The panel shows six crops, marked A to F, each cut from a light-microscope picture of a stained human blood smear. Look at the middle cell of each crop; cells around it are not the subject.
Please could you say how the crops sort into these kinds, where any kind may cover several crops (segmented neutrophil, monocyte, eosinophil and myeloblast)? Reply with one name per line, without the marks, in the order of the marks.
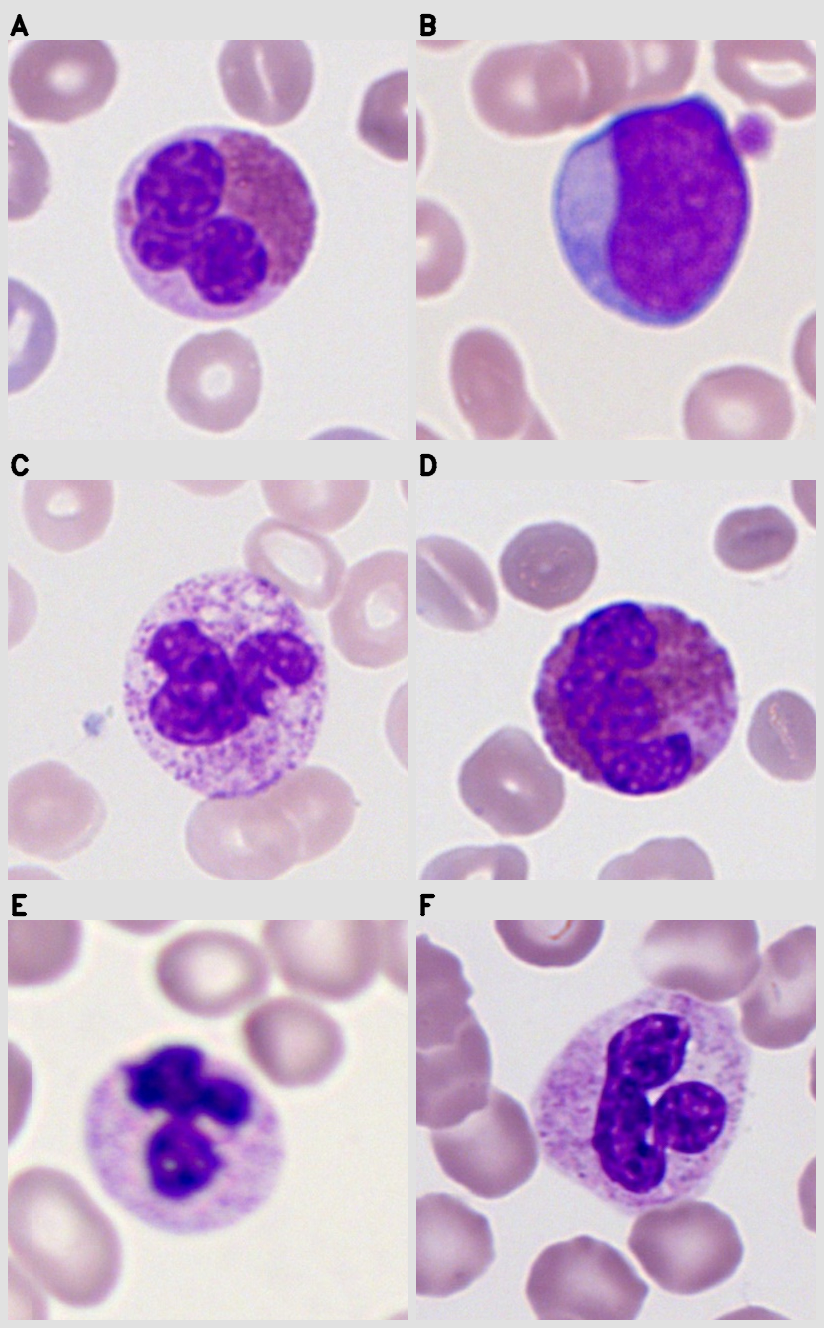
eosinophil
myeloblast
segmented neutrophil
eosinophil
segmented neutrophil
segmented neutrophil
